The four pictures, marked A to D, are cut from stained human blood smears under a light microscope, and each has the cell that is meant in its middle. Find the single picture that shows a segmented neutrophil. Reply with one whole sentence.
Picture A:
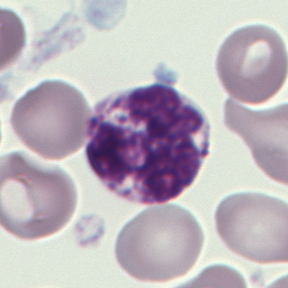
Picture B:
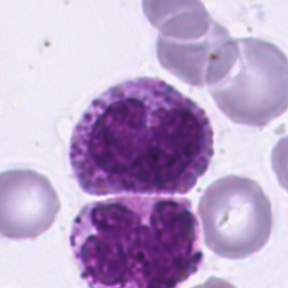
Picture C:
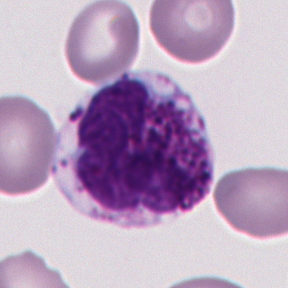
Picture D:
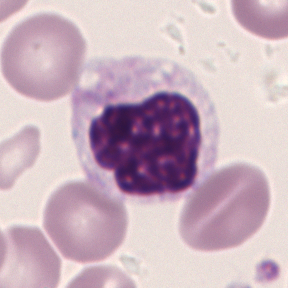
The segmented neutrophil is the one in picture D.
